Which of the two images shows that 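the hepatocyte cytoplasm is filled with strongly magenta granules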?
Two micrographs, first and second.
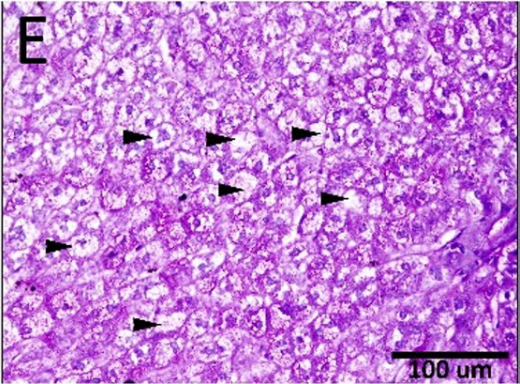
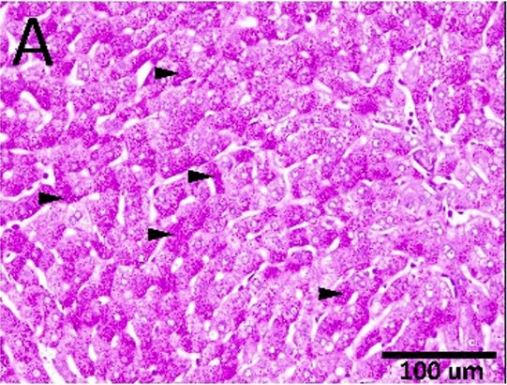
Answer: The second image.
